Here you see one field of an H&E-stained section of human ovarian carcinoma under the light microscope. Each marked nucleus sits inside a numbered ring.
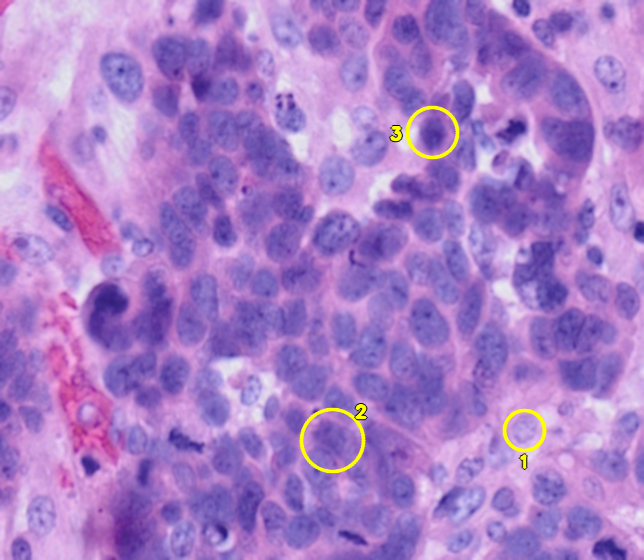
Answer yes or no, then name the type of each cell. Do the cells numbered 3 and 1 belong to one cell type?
No, as to type, cell 3 is a carcinoma cell, and cell 1 is a fibroblast.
